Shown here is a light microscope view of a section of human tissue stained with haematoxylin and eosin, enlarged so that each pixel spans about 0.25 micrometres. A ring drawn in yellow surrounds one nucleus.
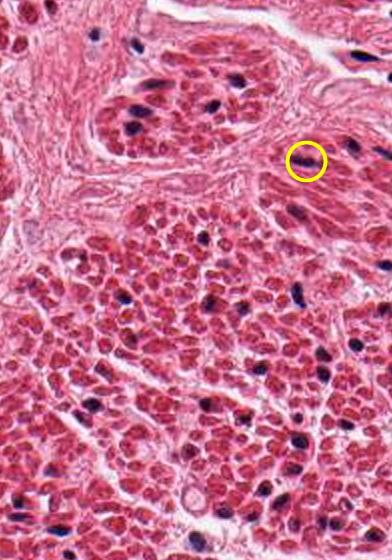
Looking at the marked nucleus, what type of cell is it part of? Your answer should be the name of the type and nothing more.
smooth muscle cell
